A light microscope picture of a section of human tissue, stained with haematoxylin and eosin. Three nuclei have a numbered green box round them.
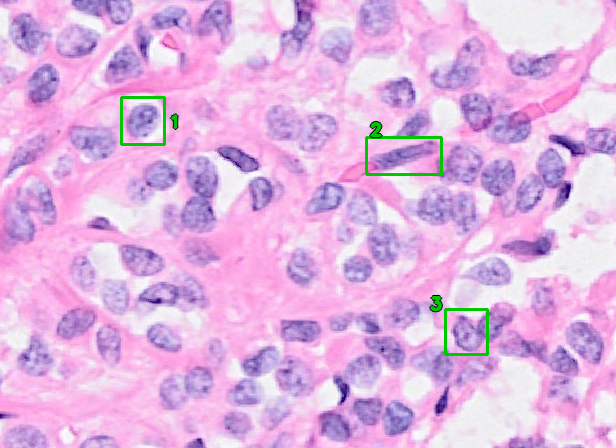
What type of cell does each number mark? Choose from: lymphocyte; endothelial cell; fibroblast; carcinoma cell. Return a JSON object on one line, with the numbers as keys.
{"1": "carcinoma cell", "2": "endothelial cell", "3": "carcinoma cell"}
